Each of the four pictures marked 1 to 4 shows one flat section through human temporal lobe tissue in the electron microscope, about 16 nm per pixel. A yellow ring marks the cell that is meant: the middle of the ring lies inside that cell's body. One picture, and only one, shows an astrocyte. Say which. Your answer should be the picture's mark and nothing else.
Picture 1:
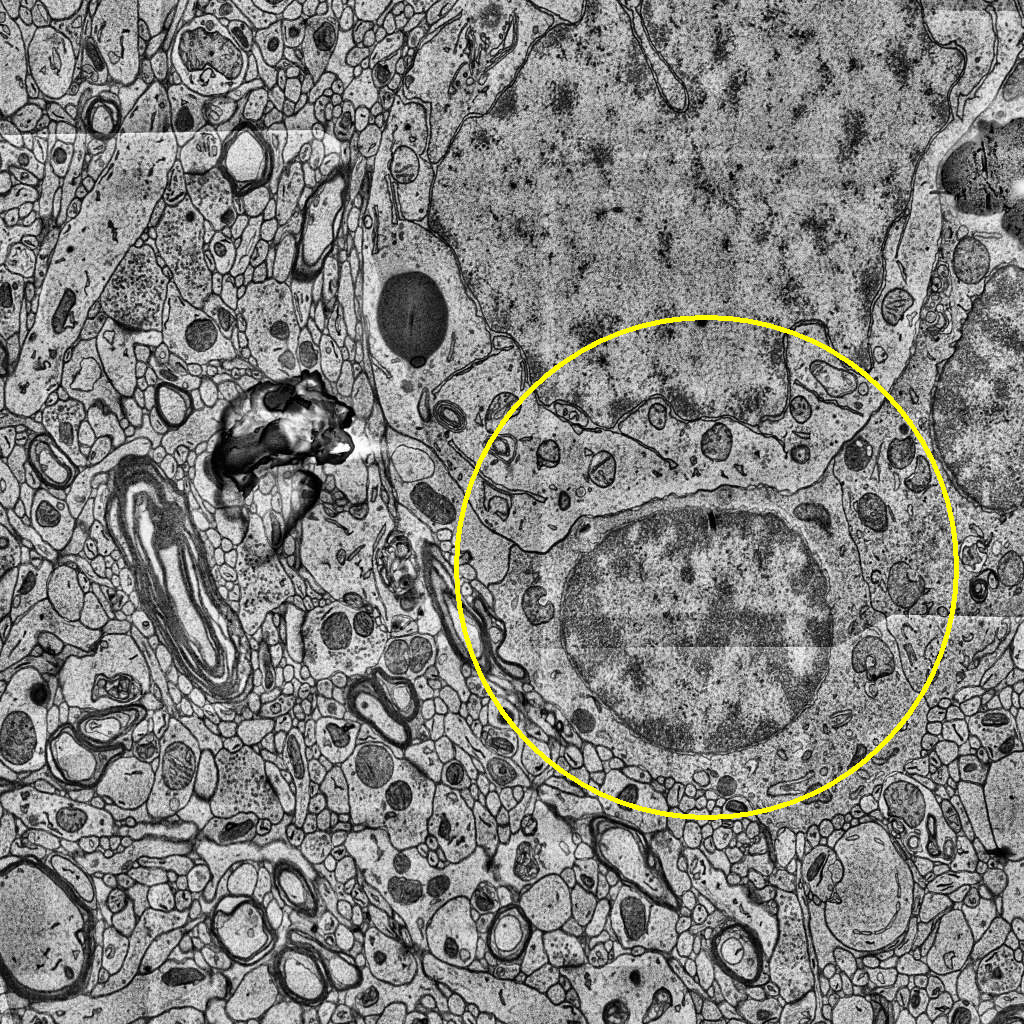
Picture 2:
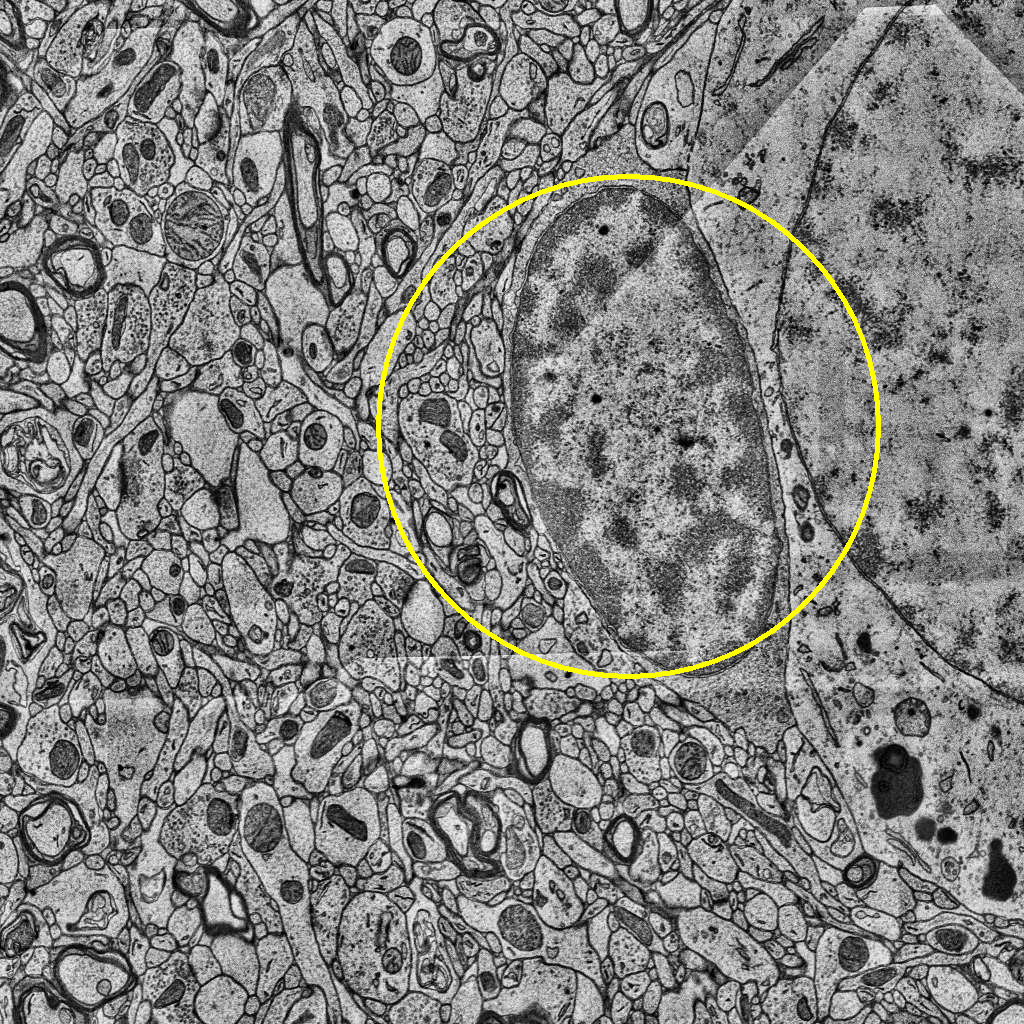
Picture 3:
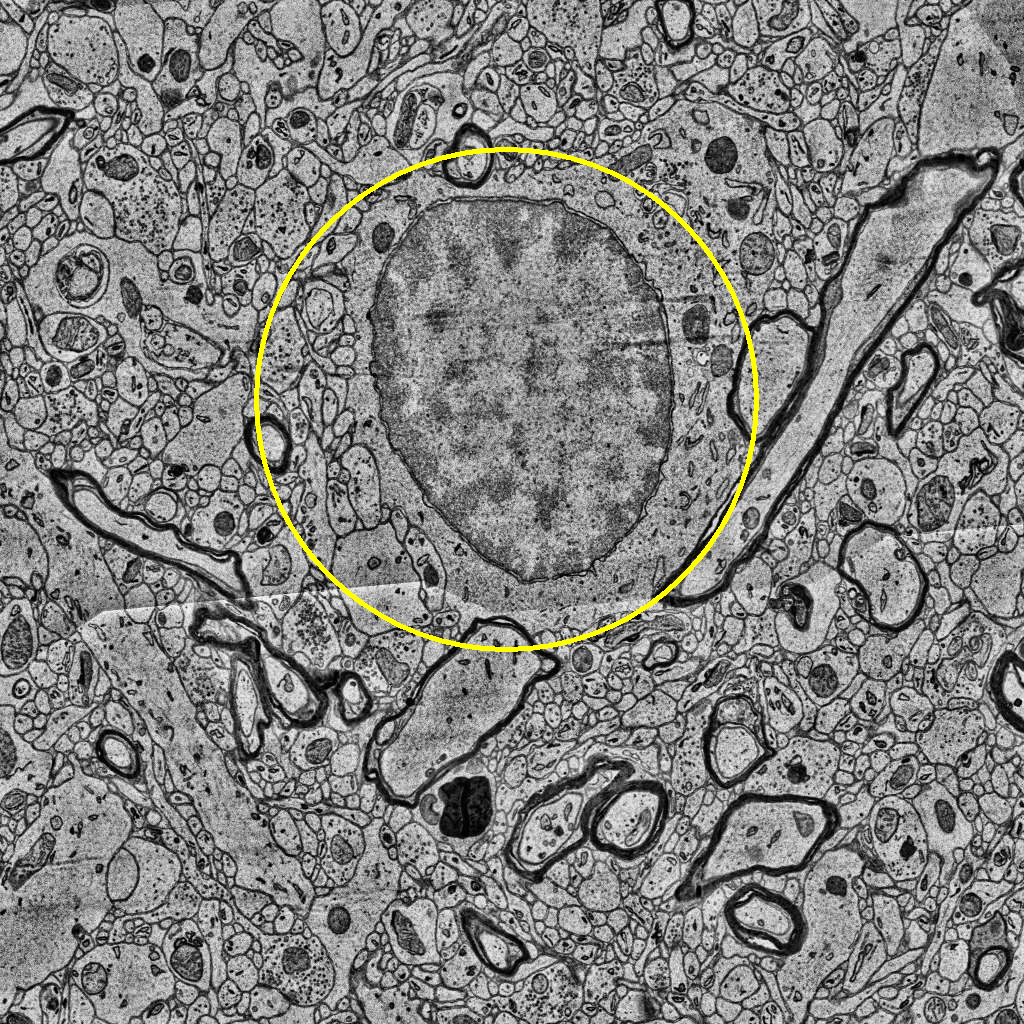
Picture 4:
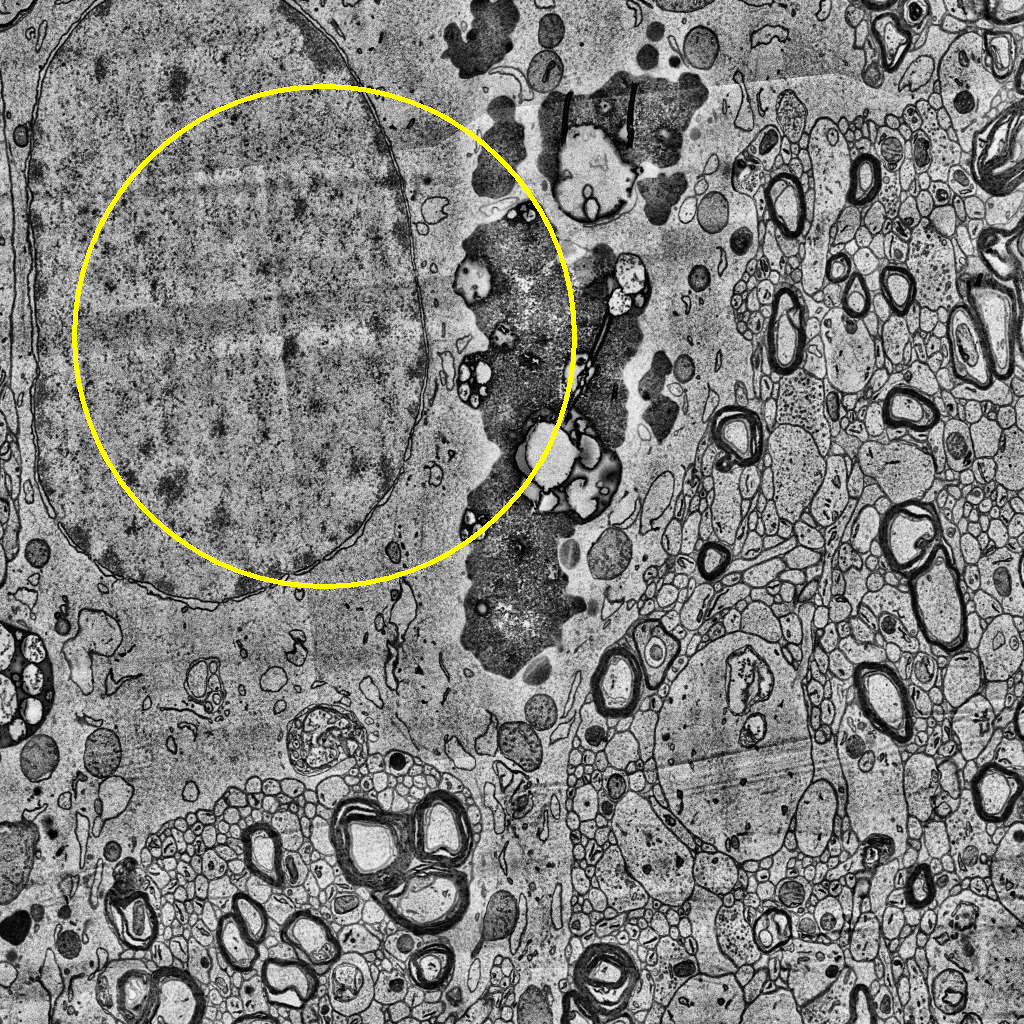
4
